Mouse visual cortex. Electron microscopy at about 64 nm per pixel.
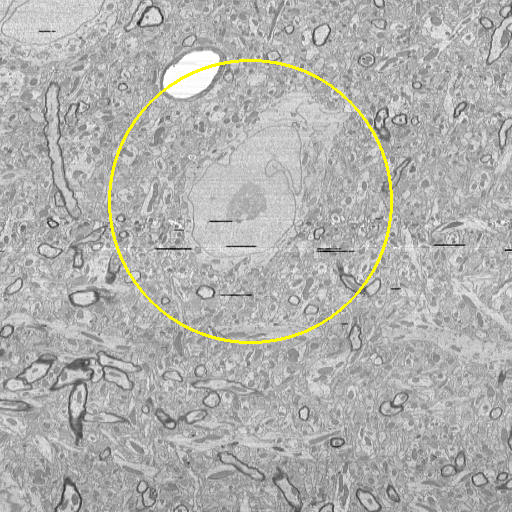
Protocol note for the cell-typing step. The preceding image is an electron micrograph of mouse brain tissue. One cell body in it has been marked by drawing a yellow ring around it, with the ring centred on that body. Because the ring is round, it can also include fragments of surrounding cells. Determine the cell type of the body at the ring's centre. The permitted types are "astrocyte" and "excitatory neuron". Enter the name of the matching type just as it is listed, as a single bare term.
excitatory neuron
